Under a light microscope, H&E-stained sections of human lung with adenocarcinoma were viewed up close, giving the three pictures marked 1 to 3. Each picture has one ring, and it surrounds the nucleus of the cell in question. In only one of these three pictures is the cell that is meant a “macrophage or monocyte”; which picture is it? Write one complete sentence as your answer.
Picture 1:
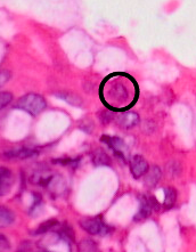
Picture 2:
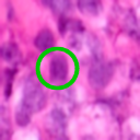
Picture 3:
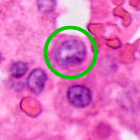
It is picture 3 that shows the “macrophage or monocyte”.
